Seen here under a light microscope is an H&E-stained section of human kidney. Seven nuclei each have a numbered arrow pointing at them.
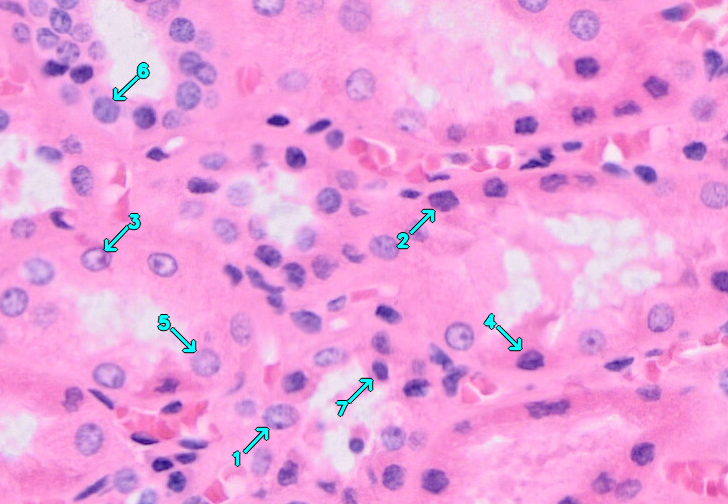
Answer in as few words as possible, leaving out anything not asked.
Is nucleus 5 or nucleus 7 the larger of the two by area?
5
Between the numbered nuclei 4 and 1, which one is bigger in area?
1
